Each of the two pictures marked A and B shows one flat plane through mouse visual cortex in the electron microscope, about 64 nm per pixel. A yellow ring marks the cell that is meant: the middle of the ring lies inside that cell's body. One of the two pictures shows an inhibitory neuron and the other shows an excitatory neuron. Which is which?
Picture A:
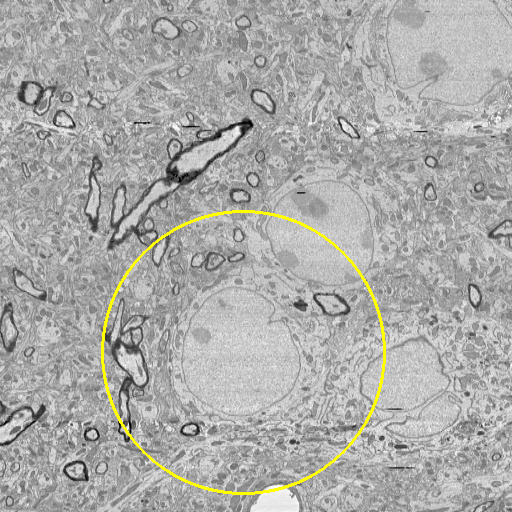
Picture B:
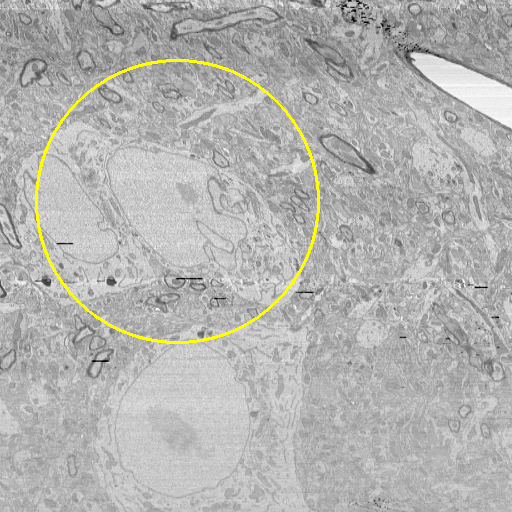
Picture B shows an inhibitory neuron, while picture A shows an excitatory neuron.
